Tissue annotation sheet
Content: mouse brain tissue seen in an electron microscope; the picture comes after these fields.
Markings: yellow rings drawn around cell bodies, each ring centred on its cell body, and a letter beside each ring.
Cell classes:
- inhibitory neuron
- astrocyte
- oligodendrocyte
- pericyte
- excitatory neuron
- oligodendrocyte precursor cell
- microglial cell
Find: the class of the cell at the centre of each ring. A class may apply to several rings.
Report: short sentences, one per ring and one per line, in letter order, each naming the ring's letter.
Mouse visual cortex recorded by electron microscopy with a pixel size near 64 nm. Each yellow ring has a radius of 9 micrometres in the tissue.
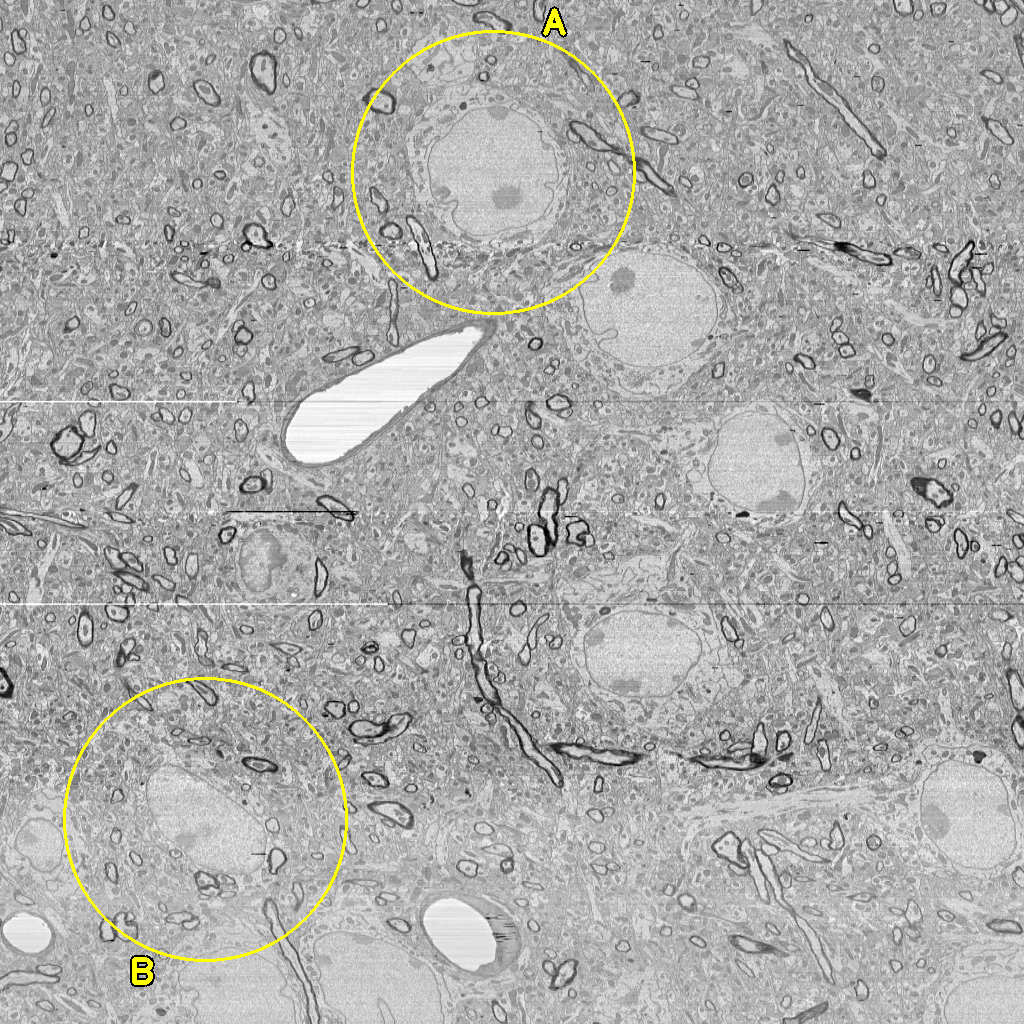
Ring A holds an excitatory neuron at its centre.
Ring B holds an astrocyte at its centre.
